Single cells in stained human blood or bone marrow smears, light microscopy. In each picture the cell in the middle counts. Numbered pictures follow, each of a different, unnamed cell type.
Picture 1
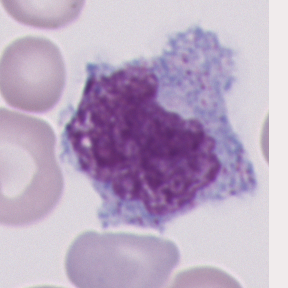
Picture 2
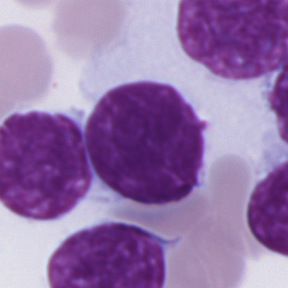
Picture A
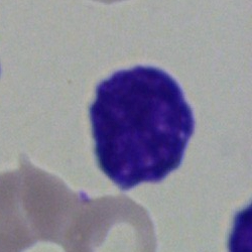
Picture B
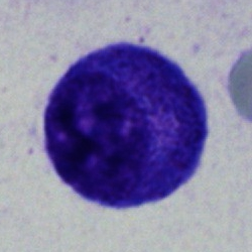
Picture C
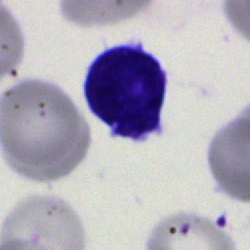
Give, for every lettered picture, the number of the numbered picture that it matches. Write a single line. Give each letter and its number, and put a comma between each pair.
A 2, B 1, C 2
